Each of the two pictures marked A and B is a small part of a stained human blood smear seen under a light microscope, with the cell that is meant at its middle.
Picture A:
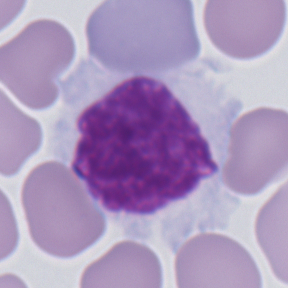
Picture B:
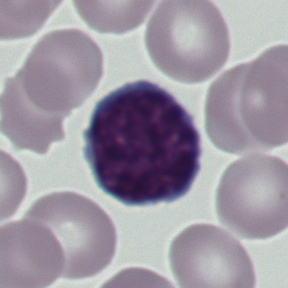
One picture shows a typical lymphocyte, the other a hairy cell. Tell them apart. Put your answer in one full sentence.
Picture A is of a hairy cell, and picture B is of a typical lymphocyte.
